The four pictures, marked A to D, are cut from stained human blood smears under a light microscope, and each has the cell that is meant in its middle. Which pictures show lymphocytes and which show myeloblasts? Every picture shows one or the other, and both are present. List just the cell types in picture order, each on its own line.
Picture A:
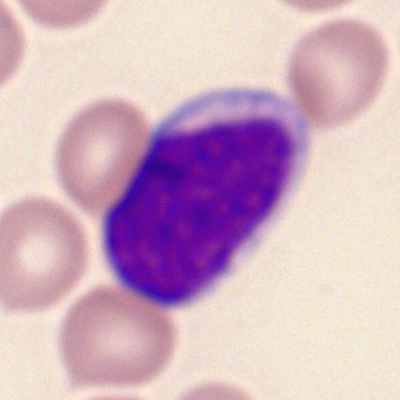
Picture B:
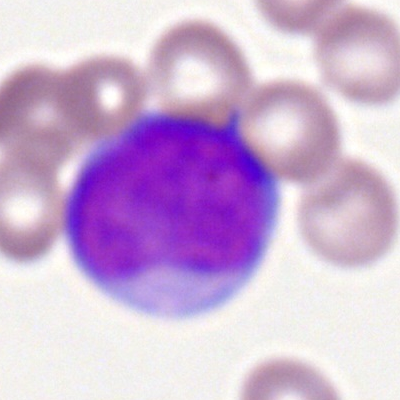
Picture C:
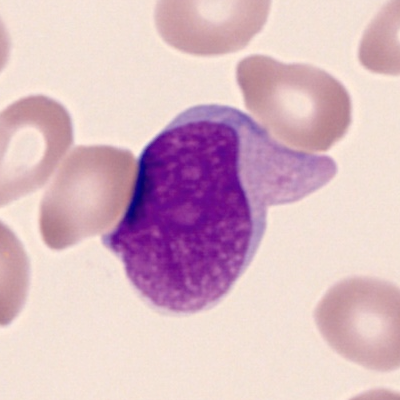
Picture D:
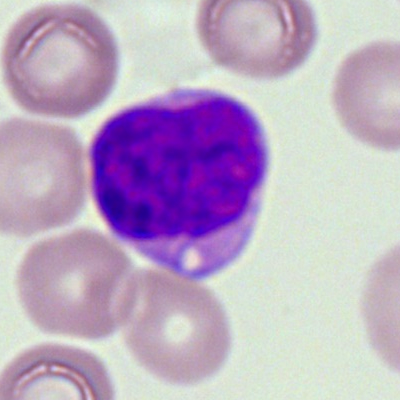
myeloblast
myeloblast
myeloblast
lymphocyte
